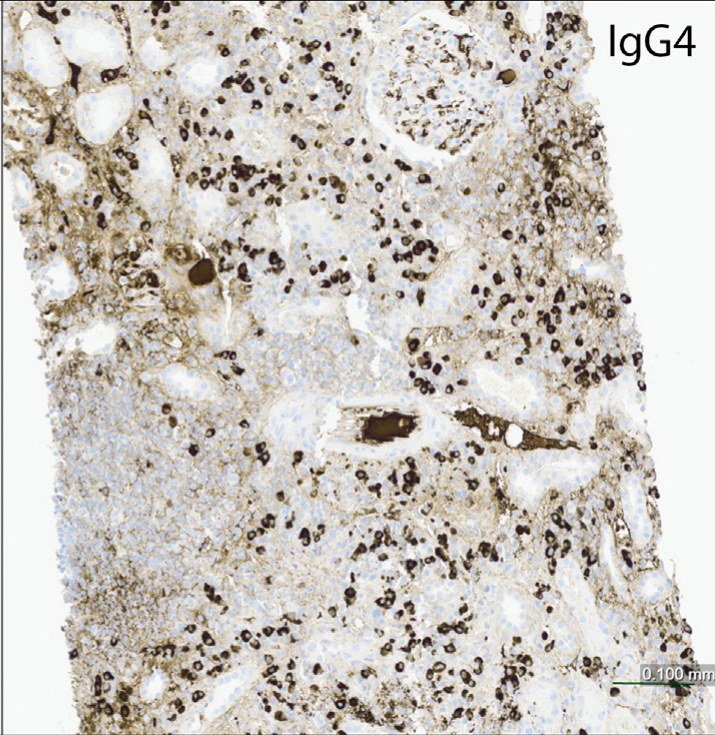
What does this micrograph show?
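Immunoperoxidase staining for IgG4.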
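Kidney cortex in which many interstitial plasma cells are stained dark brown. The stained cells are round and lie singly and in clusters between the pale blue tubules. A fainter diffuse brown tinge covers the interstitium, and some tubular lumens hold dense brown material.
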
